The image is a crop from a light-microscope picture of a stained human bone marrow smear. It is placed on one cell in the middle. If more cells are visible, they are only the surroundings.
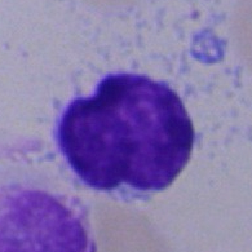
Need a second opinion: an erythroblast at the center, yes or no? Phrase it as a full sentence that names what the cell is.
No, the cell centered in the crop is a lymphocyte, not an erythroblast.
